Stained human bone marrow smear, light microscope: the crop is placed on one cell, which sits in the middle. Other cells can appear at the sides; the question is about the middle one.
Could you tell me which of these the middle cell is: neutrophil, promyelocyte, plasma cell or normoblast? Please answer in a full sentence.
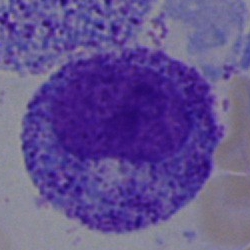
Centrally within this crop lies a promyelocyte.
